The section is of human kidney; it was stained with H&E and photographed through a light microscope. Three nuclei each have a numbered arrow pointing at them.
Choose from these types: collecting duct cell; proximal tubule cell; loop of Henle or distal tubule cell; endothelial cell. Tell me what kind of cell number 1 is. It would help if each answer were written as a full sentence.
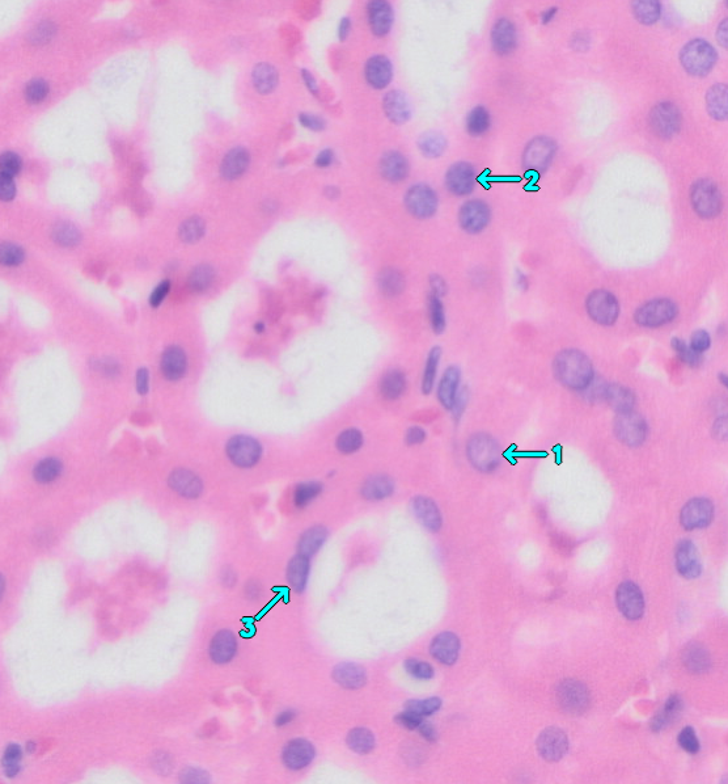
Identified by the number 1, the cell is a proximal tubule cell.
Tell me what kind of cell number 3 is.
Belonging to a loop of Henle or distal tubule cell is the nucleus that carries the number 3.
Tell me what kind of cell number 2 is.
Among the marked nuclei, number 2 belongs to a loop of Henle or distal tubule cell.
